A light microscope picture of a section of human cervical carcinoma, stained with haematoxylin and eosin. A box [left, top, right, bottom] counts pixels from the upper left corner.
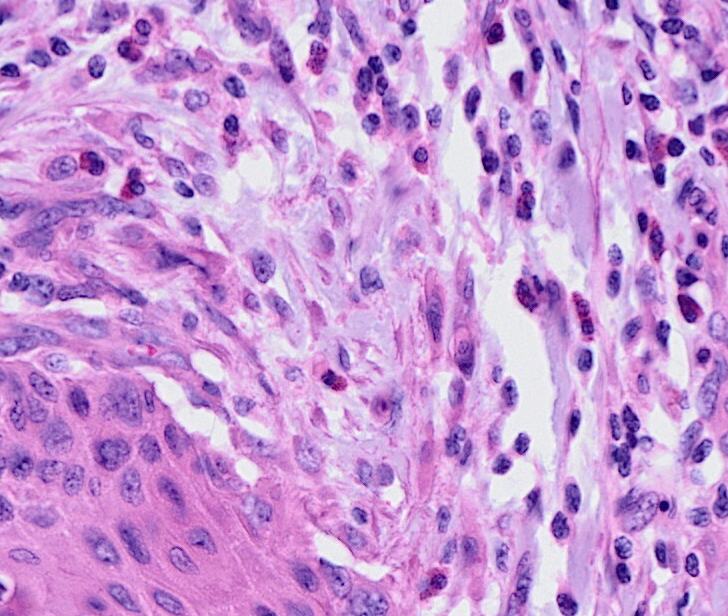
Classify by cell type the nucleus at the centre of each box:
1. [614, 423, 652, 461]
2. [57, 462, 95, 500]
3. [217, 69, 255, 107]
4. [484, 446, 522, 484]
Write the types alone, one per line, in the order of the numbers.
lymphocyte
squamous carcinoma cell
lymphocyte
lymphocyte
